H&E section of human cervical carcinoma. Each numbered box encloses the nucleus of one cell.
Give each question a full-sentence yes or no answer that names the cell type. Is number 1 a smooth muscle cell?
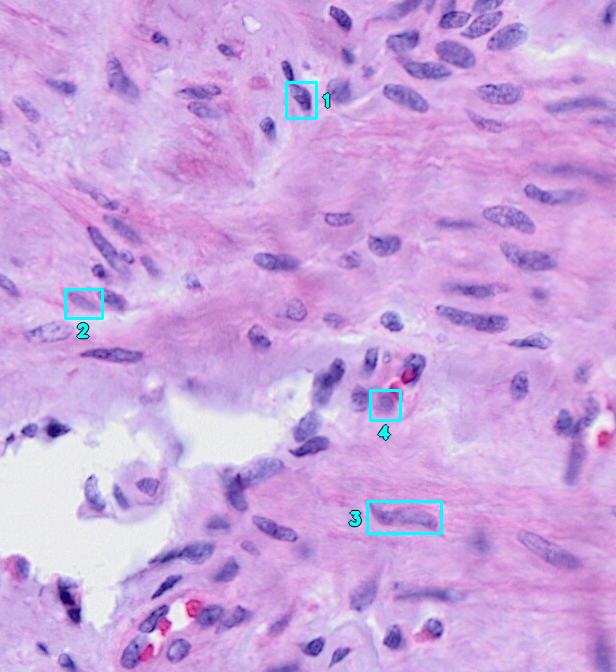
No, the cell tagged 1 is a fibroblast, not a smooth muscle cell.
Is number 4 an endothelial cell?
Yes, the cell tagged with the number 4 is an endothelial cell.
